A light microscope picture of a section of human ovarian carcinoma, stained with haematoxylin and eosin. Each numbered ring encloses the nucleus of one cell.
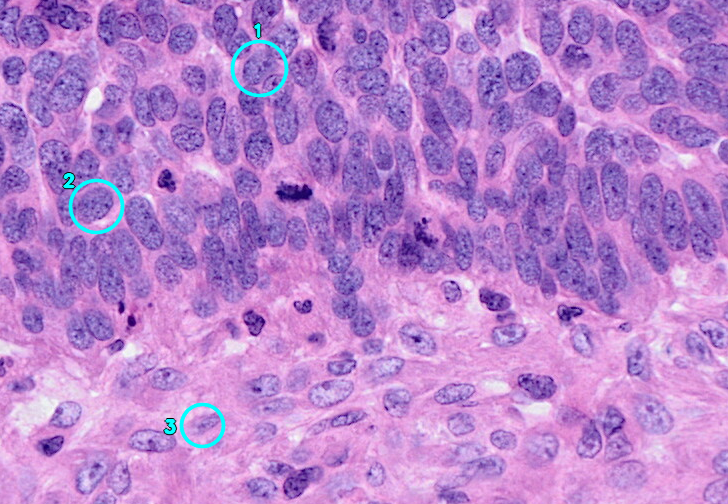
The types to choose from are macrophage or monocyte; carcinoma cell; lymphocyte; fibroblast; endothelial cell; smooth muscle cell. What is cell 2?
carcinoma cell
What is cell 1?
carcinoma cell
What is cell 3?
fibroblast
